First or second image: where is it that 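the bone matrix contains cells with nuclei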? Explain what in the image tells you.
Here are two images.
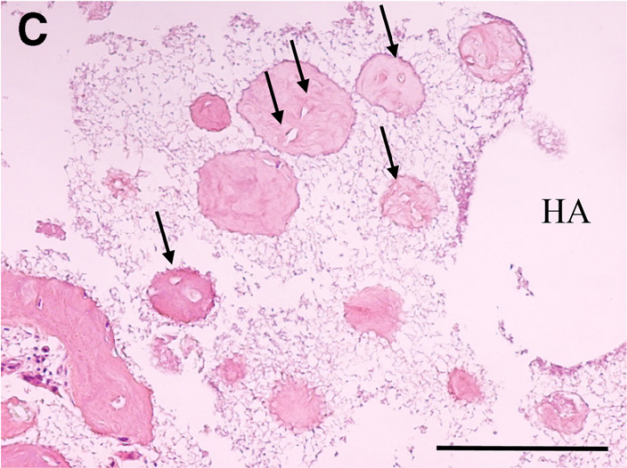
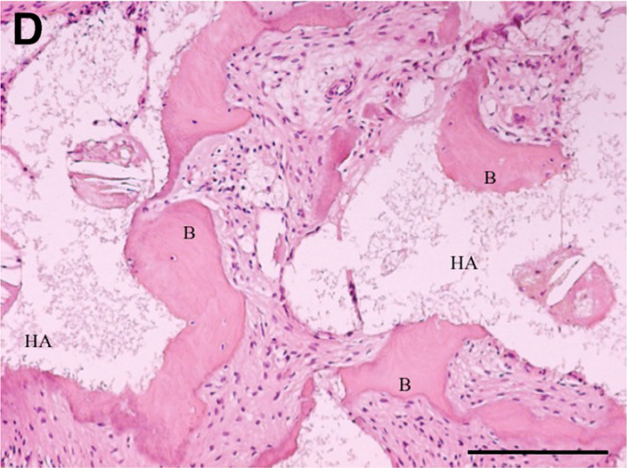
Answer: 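The second image. Second image: small nuclei lie scattered within the pink bone matrix. First image: the arrowed pink bone islands show no nuclei, only empty clefts.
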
